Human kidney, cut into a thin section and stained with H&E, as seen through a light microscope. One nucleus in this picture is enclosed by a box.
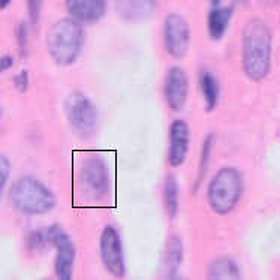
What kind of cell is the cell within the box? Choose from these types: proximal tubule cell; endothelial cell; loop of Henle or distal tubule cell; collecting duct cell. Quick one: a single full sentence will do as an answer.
Typologically, the cell within the box is a loop of Henle or distal tubule cell in this section.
